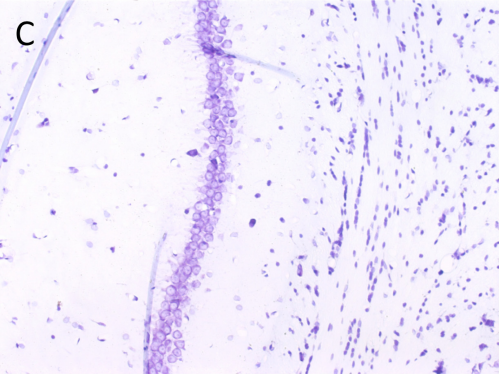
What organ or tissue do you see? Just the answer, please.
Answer: pyramidal cell layer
